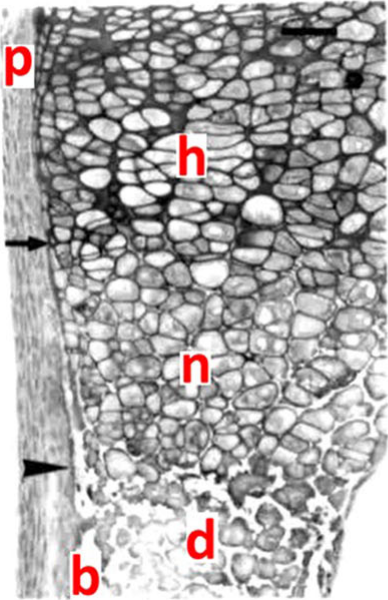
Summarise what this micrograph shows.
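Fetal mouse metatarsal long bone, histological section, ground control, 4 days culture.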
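In the upper part the cells are large, rounded and pale, each in its own lacuna, separated by thin dark septa of matrix, the look of hypertrophic cartilage. At the bottom the tissue becomes pale and broken up, with disrupted cell remnants. Along the left side runs a band of elongated fibrous cells, the perichondrium, and low down a thin collar lies beside the rod.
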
